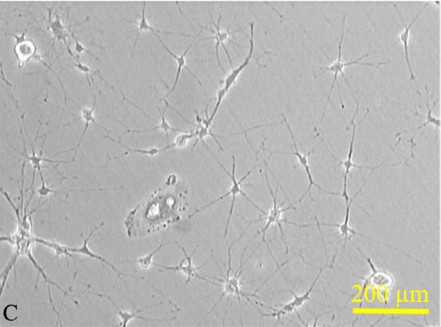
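Neuron-like cells in culture, seen in phase contrast. The cells are sparse, with small, bright, compact bodies from which several long, thin processes extend. The processes branch and taper, and many reach neighbouring cells, forming a loose network across the field. The background between cells is empty and smooth. A few larger, rounded or irregular cells with granular contents stand apart from the branched cells.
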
